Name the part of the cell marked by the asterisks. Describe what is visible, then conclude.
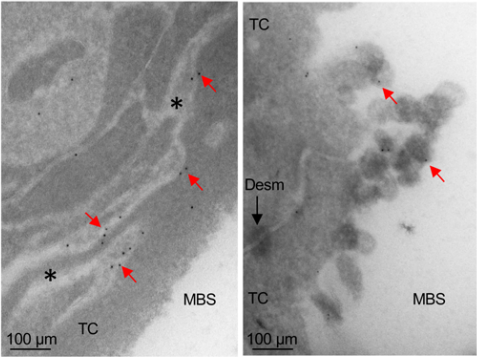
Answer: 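The asterisks lie on pale, narrow, winding bands between folded membranes. That points to this answer: cell membrane invaginations.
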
